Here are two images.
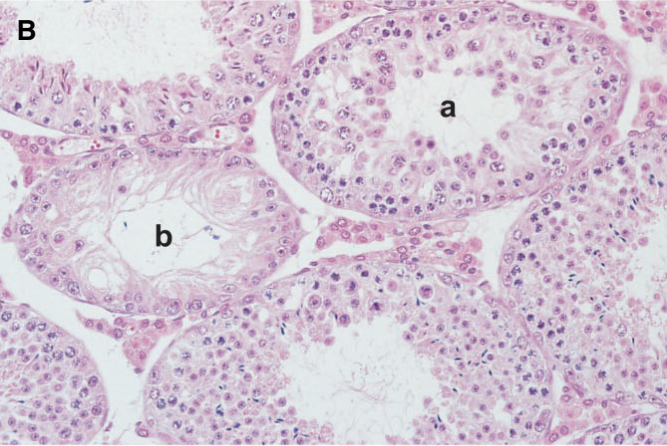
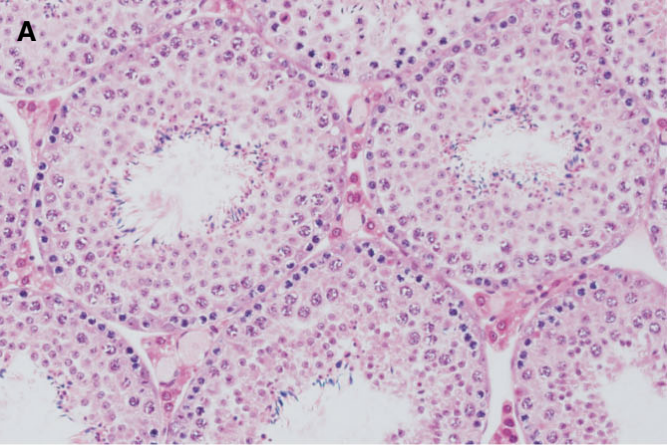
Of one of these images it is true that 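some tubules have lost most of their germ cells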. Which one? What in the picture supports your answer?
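The first image. First image: one tubule is lined only by a thin pale layer with few germ cells and another has gaps in its lining.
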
